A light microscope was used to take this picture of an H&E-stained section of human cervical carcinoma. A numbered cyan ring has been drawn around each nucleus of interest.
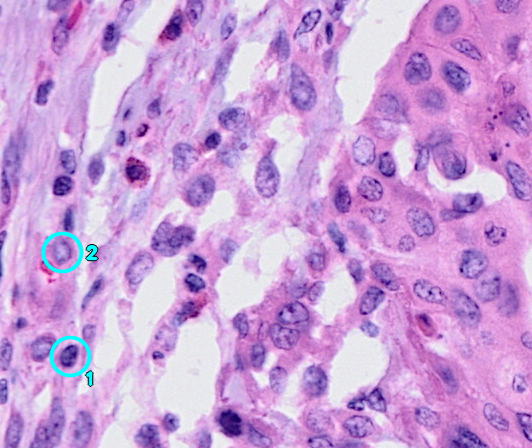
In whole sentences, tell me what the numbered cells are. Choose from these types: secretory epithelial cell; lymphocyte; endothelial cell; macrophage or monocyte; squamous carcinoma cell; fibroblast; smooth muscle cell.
Cell 1 is a lymphocyte and cell 2 is an endothelial cell.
